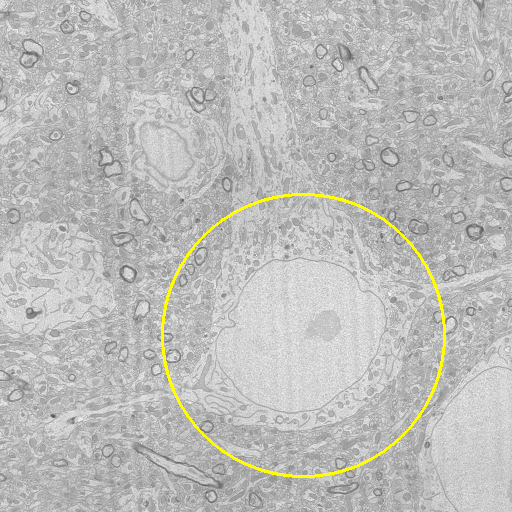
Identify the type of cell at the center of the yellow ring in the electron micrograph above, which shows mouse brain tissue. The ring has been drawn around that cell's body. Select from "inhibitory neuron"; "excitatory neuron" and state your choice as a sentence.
The yellow ring is centered on the body of an excitatory neuron.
